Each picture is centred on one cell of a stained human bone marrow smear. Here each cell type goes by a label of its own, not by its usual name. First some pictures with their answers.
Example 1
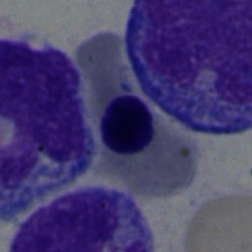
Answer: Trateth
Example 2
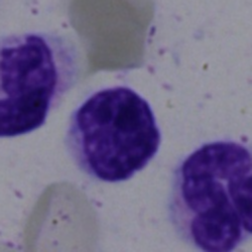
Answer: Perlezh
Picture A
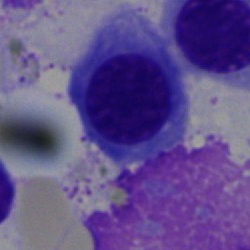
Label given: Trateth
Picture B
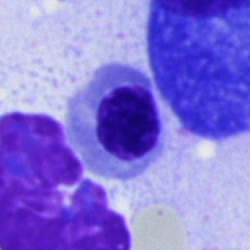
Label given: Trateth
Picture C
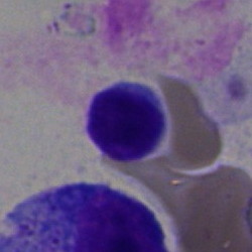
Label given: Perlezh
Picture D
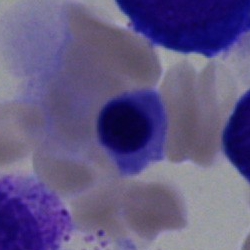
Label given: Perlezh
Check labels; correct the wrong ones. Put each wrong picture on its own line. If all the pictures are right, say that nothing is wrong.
D should be Trateth, not Perlezh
